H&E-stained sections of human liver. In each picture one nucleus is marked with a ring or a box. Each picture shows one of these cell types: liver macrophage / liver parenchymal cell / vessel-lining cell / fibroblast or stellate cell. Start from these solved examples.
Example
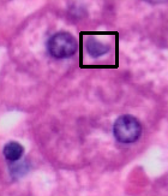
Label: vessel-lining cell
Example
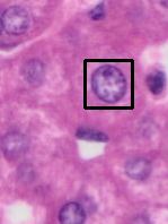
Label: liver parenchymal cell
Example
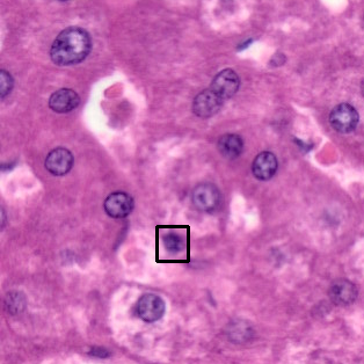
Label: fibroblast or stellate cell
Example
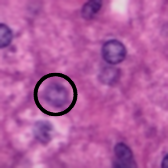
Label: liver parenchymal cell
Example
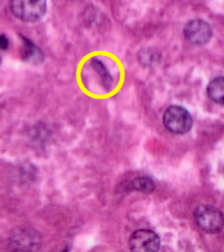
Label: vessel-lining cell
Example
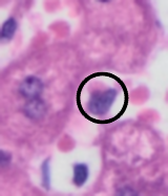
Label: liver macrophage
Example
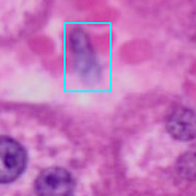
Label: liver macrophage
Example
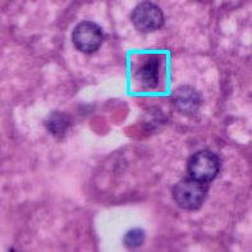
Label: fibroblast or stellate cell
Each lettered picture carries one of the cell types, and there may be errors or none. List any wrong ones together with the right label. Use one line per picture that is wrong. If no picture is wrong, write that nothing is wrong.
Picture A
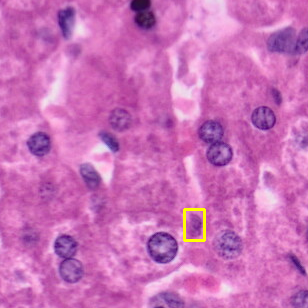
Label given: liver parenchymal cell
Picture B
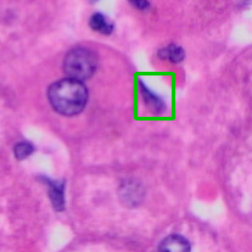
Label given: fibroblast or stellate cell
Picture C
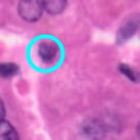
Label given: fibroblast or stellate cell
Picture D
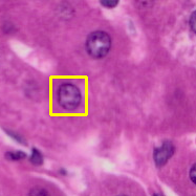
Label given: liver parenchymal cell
A: not liver parenchymal cell but vessel-lining cell
B: not fibroblast or stellate cell but vessel-lining cell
